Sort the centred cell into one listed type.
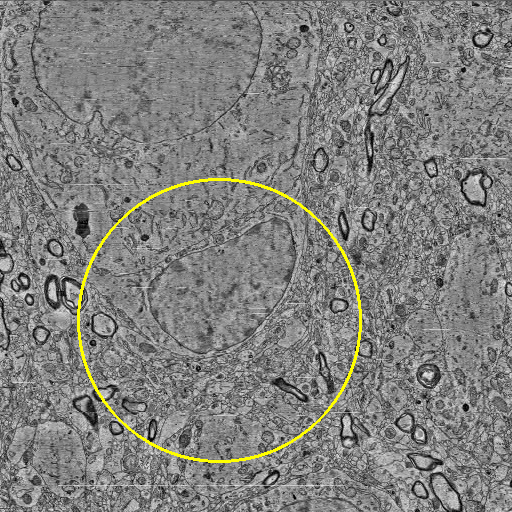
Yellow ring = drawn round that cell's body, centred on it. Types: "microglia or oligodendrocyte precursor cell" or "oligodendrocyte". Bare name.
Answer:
microglia or oligodendrocyte precursor cell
